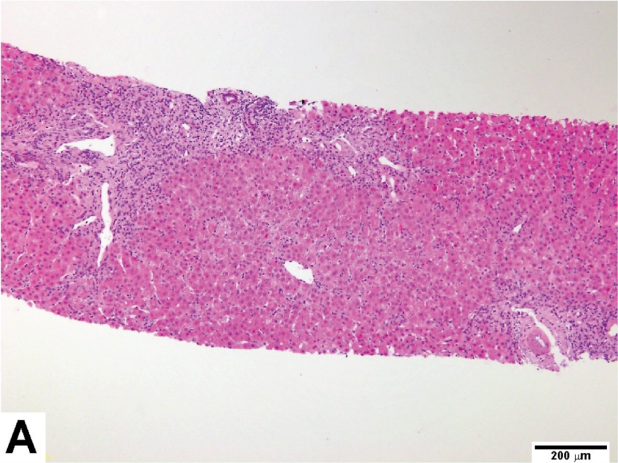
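A needle core of liver with pink hepatocyte plates and several portal areas containing vessels. The portal areas are densely filled with small cells with dark blue nuclei, and similar small nuclei are scattered along the sinusoids between the hepatocyte plates.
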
